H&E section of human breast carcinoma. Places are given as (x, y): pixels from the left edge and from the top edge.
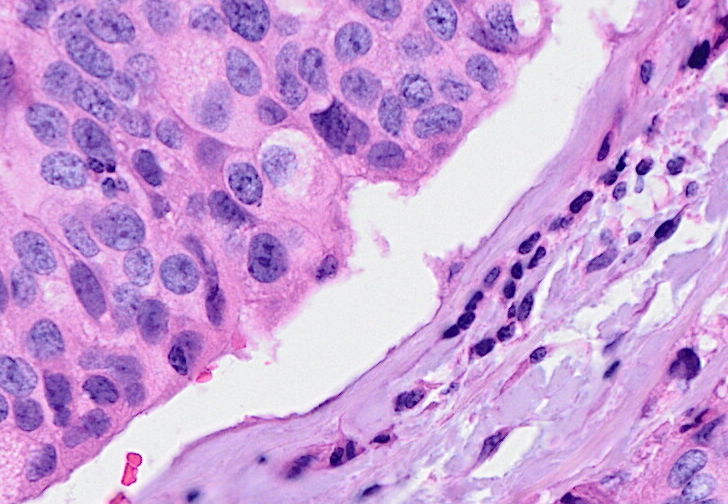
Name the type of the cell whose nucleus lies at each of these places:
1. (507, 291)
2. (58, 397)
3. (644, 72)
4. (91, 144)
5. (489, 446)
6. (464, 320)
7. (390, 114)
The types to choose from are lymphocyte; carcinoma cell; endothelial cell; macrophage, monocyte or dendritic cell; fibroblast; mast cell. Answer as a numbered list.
1. lymphocyte
2. carcinoma cell
3. mast cell
4. carcinoma cell
5. fibroblast
6. lymphocyte
7. carcinoma cell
